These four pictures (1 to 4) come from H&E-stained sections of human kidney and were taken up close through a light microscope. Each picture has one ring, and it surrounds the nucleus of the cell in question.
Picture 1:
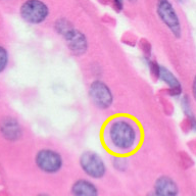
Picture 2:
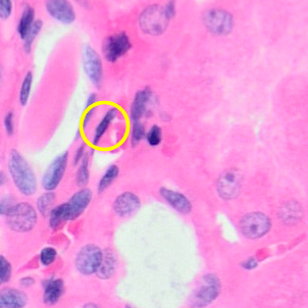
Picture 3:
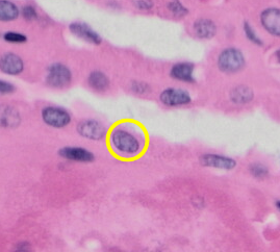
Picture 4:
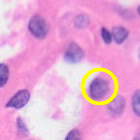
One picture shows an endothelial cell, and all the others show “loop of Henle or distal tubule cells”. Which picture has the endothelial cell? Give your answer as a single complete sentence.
Picture 2 shows the endothelial cell.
